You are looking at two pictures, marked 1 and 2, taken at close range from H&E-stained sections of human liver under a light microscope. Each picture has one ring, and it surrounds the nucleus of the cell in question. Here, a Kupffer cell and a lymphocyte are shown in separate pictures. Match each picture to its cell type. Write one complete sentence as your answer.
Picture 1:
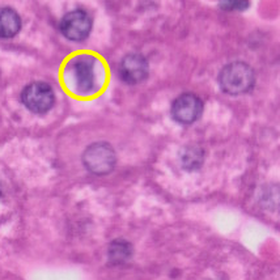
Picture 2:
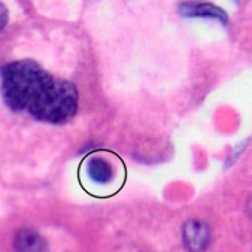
It is picture 1 that shows a Kupffer cell, and picture 2 that shows a lymphocyte.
